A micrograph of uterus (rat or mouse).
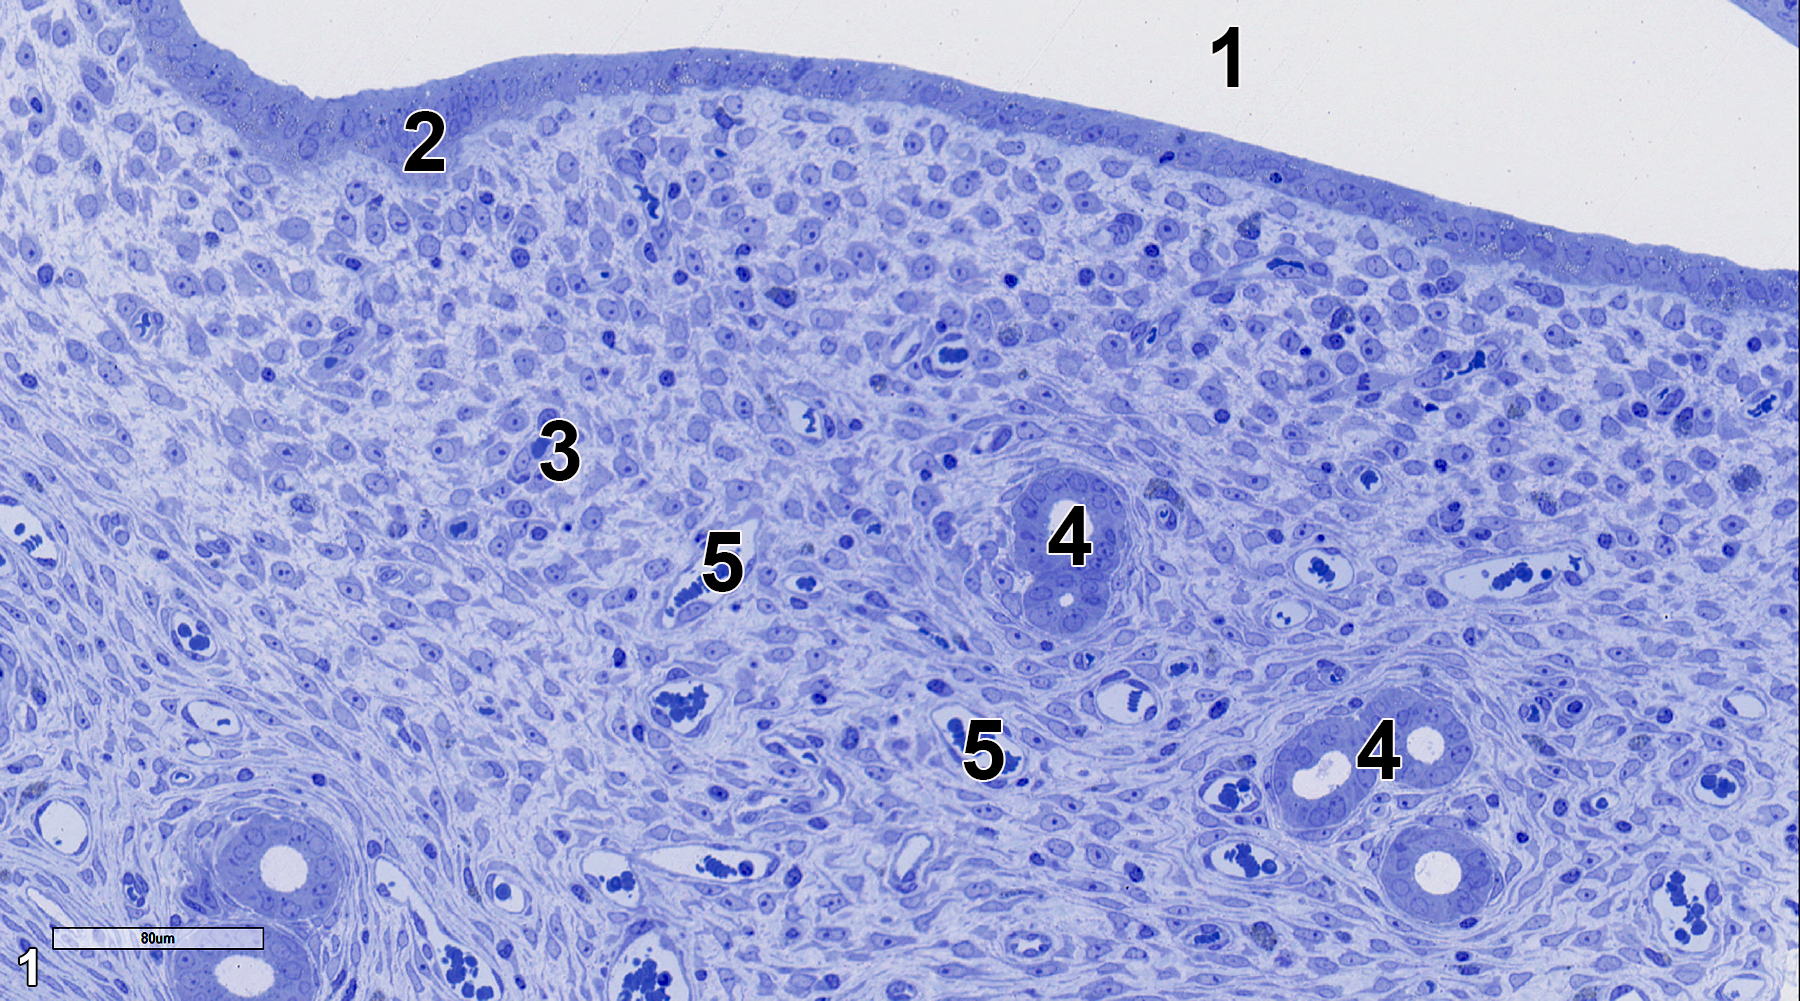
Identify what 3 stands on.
3 marks the stromal layer.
